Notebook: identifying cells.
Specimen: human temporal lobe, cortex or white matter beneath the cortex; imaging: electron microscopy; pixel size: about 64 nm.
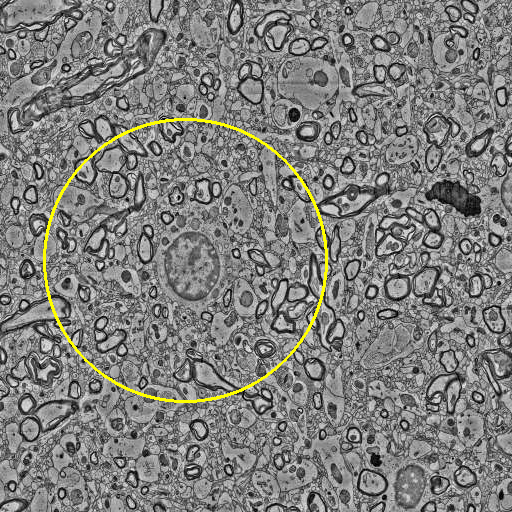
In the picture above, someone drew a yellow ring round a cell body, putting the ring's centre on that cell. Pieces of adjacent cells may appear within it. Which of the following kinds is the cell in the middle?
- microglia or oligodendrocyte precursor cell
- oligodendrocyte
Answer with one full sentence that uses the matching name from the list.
In this picture, the yellow ring is centred on the body of an oligodendrocyte.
